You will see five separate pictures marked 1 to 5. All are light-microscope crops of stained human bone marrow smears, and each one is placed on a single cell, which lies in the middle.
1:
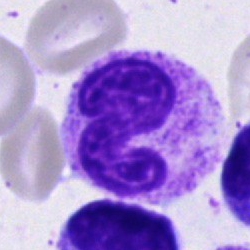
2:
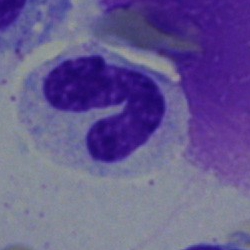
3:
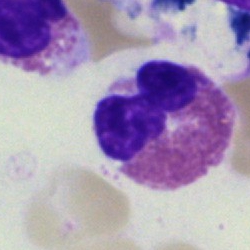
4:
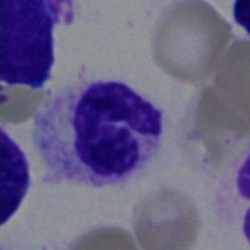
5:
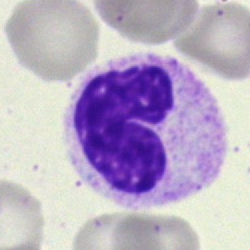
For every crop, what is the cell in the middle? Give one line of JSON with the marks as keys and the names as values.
{"1": "band neutrophil", "2": "band neutrophil", "3": "eosinophil", "4": "segmented neutrophil", "5": "band neutrophil"}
